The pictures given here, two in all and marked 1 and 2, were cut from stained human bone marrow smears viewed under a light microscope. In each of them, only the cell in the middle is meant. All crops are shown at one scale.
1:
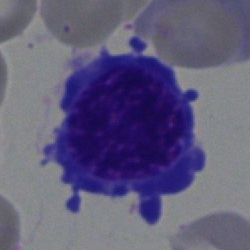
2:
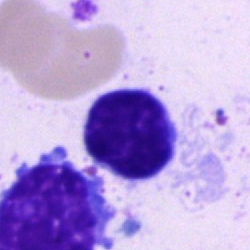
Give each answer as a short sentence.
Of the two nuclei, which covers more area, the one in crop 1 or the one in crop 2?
Larger is the nucleus in crop 1, at roughly 2 times the area of the other.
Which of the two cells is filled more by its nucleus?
The nucleus fills more of the cell in crop 2 than in crop 1.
